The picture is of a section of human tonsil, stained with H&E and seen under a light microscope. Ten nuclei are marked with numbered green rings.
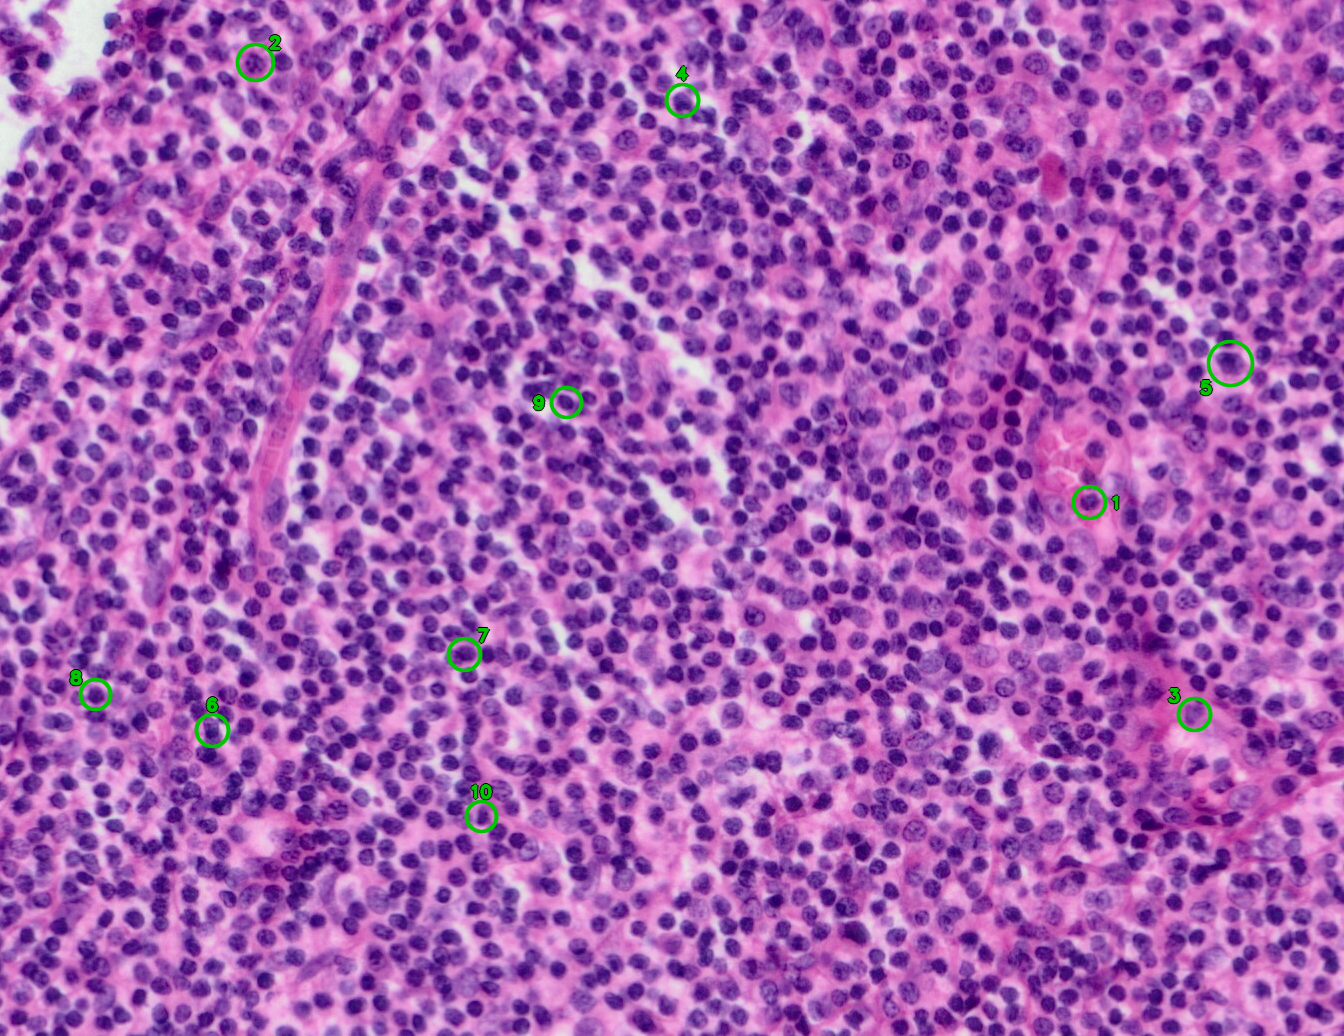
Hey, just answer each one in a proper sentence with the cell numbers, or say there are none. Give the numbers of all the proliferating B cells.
Response: cell 5 is a proliferating B cell, and no other numbered cell is.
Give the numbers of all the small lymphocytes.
The numbers 4, 6, 7, 8, 9 and 10 mark cells that are small lymphocytes.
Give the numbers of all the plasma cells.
Cell 2 stands alone among the numbered cells as a plasma cell.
